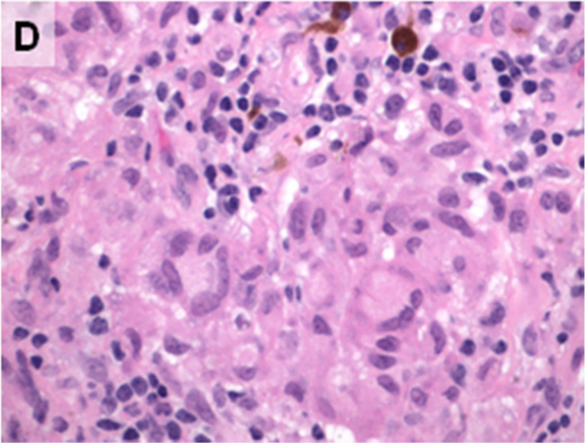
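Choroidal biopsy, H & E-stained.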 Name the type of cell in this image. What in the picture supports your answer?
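A large cell with abundant pink cytoplasm holding several oval nuclei. Surrounded by single-nucleated pale pink cells and small dark round cells. The answer: multinucleated giant cells.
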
